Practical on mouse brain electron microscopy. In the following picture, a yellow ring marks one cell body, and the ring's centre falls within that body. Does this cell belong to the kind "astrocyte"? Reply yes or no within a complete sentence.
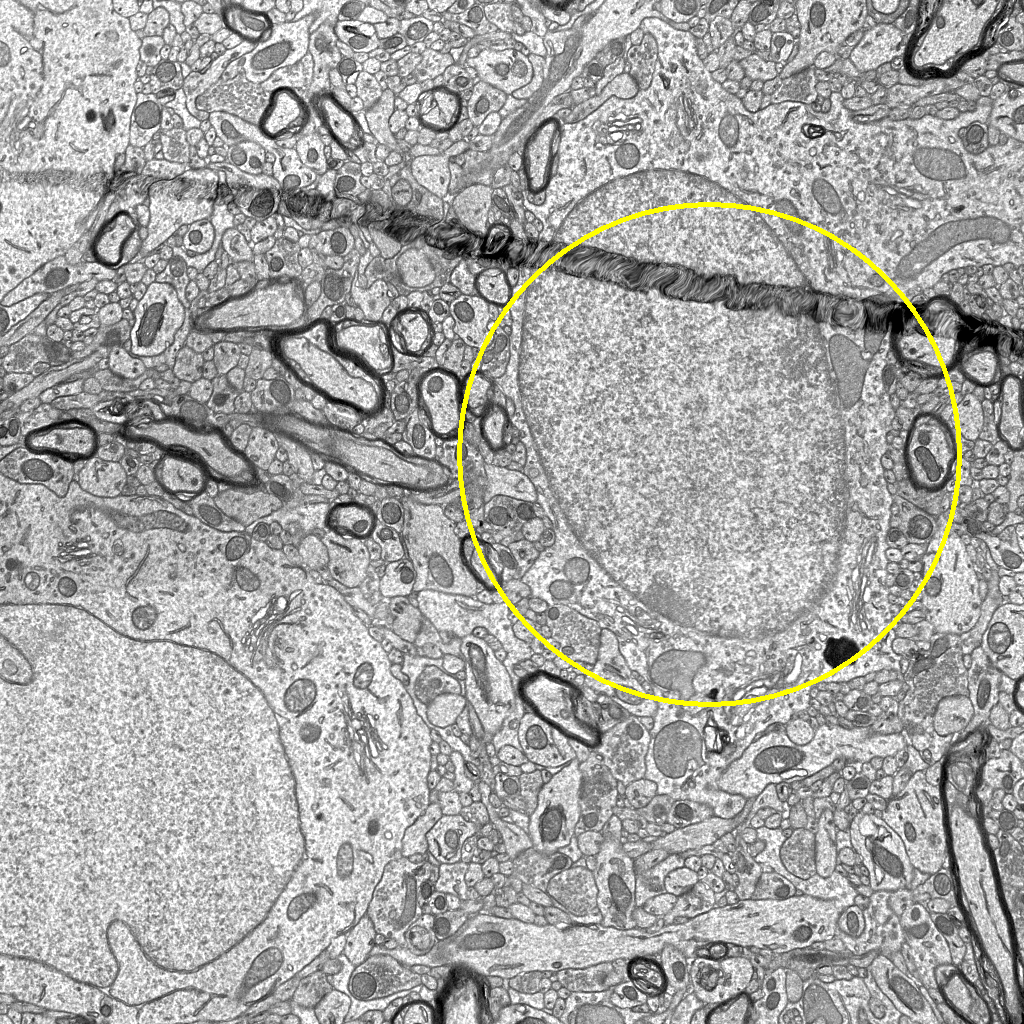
Yes, the one cell holding the centre of the ring here is of that kind.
